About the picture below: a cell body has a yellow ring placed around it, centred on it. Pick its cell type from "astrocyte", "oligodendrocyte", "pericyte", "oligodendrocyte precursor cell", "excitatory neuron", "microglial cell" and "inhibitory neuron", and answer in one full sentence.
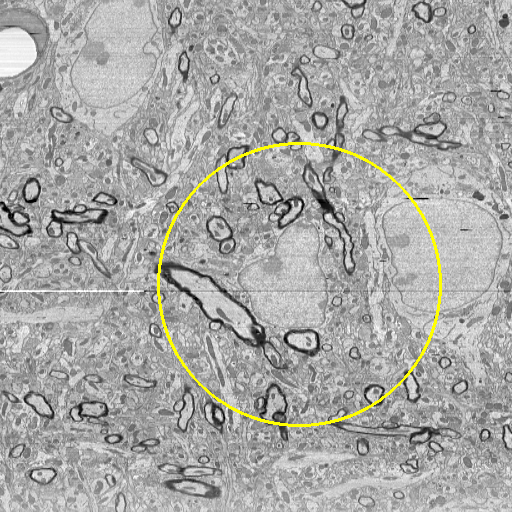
In the picture, an astrocyte is the cell sitting at the centre of the yellow ring.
